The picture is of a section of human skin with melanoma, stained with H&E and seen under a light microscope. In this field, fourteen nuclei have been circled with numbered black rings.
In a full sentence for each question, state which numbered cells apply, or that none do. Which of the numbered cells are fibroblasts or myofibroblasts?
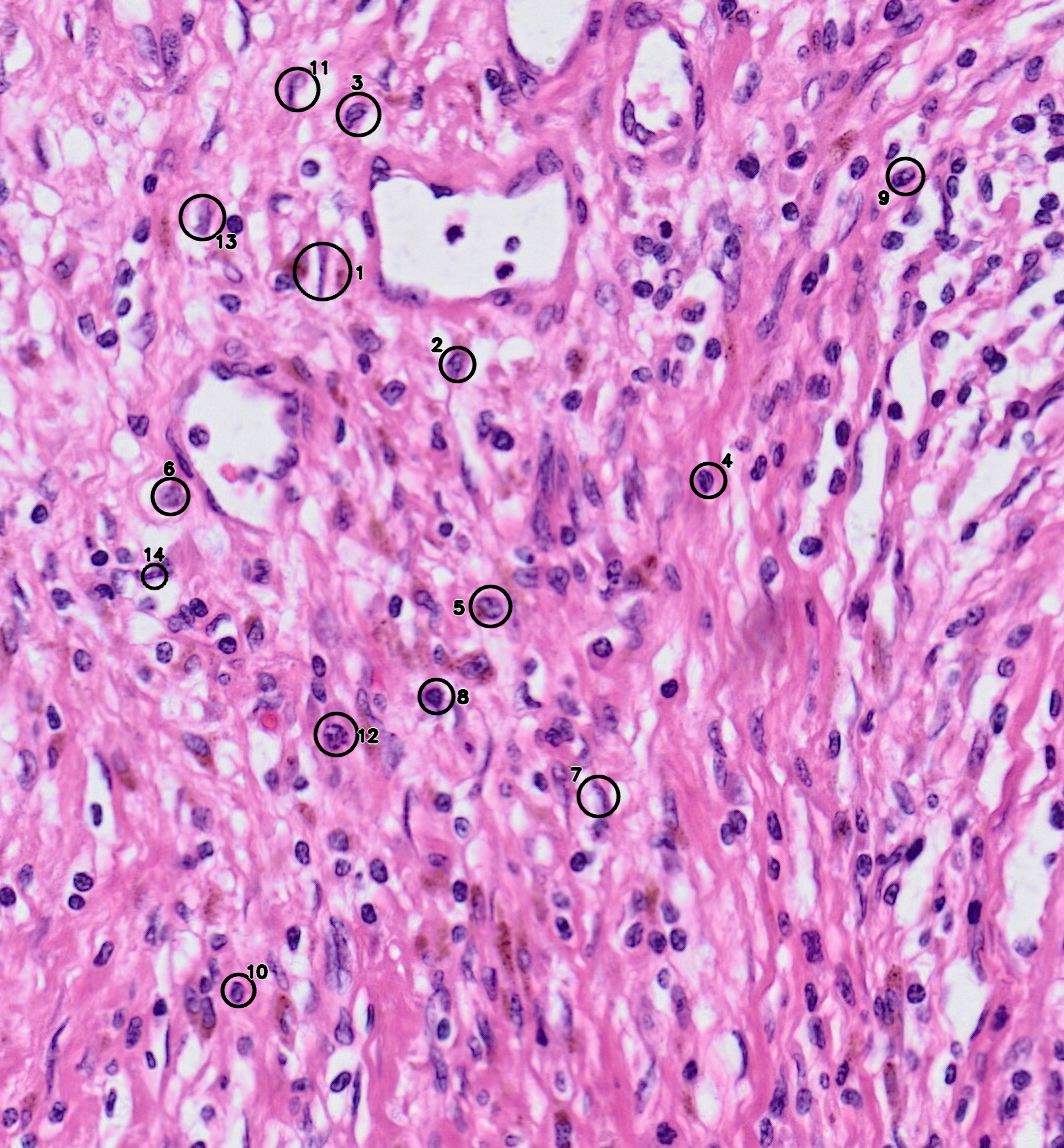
The cells carrying labels 1, 7, 11, 13 and 14 are fibroblasts or myofibroblasts.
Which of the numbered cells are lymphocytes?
Regarding the numbered cells 4 and 10, these are lymphocytes.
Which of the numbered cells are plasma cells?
The cells labelled 8, 9 and 12 in this section are plasma cells.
